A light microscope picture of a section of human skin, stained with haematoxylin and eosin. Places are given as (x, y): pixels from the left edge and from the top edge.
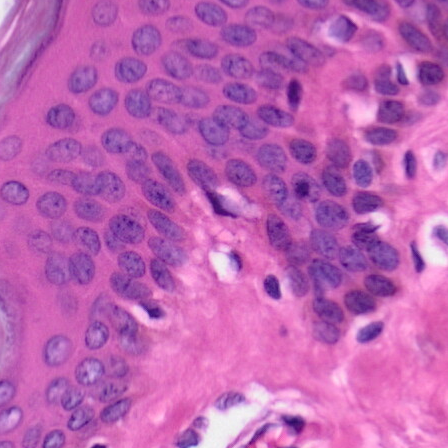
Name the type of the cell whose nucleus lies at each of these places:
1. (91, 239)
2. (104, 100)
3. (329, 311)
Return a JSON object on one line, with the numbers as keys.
{"1": "suprabasal keratinocyte", "2": "suprabasal keratinocyte", "3": "basal keratinocyte"}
